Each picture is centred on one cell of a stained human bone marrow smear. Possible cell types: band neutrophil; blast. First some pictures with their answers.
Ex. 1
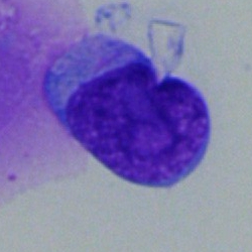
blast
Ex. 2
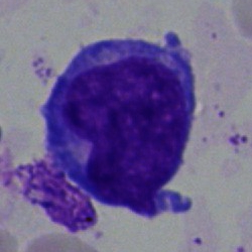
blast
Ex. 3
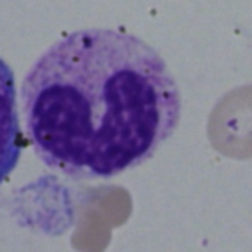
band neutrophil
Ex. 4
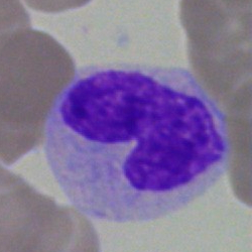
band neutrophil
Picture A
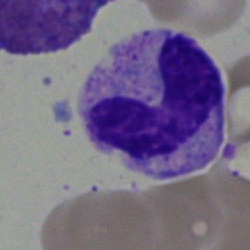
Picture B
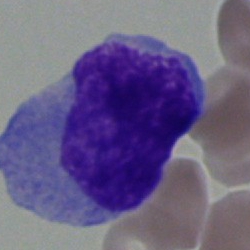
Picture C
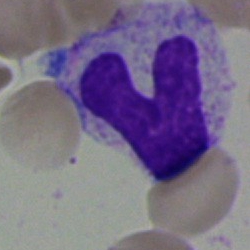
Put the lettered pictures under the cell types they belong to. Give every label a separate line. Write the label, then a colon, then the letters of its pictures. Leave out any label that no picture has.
band neutrophil: A, C
blast: B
